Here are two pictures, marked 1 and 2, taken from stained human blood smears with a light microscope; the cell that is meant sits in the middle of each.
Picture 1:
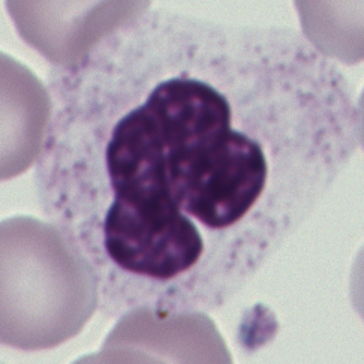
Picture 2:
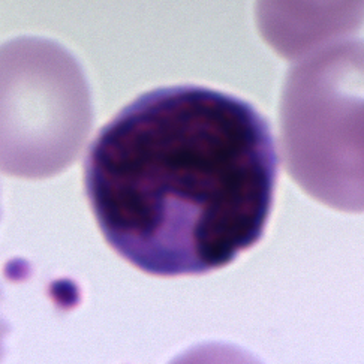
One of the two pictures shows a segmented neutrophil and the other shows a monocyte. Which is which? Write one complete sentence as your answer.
In picture 1 the cell is a segmented neutrophil; in picture 2, a monocyte.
